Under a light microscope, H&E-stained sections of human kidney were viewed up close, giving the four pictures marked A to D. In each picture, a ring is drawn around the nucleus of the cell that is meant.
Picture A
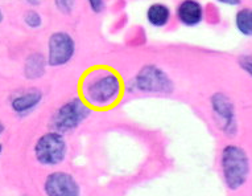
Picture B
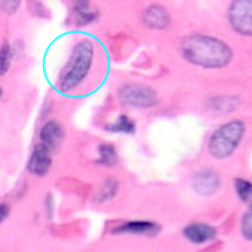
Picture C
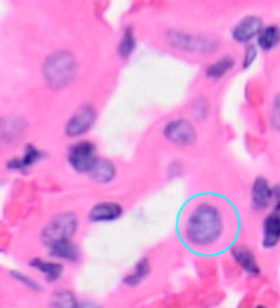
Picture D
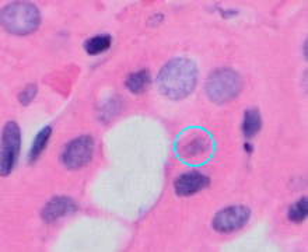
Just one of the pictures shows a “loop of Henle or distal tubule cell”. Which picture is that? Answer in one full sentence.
The picture with the “loop of Henle or distal tubule cell” is D.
